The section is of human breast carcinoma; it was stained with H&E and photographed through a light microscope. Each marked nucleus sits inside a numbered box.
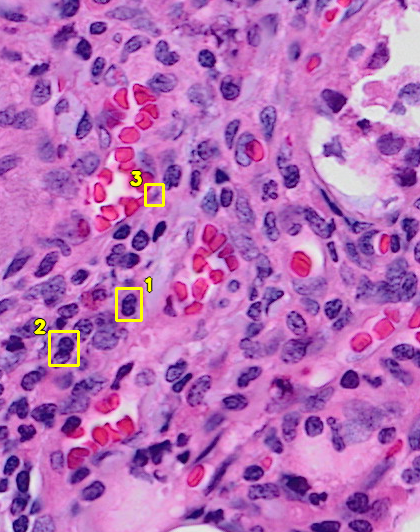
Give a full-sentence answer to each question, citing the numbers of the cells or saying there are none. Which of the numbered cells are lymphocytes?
The cells given the numbers 1 and 2 are lymphocytes.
